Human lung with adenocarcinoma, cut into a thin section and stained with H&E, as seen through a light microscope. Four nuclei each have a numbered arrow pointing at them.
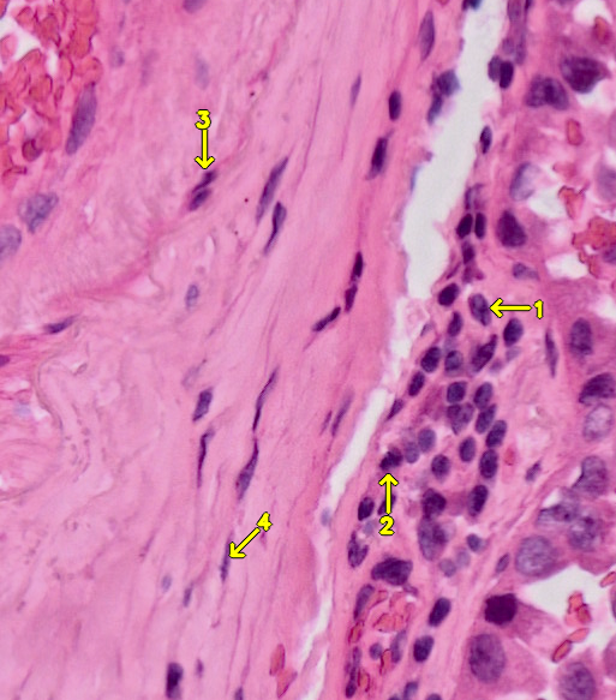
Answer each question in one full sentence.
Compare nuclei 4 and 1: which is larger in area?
Nucleus 1 is the larger one, covering about 1.5 times the area of nucleus 4.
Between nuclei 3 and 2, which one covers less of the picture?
With nucleus 2 about 3 times its size, nucleus 3 is the smaller of the two.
